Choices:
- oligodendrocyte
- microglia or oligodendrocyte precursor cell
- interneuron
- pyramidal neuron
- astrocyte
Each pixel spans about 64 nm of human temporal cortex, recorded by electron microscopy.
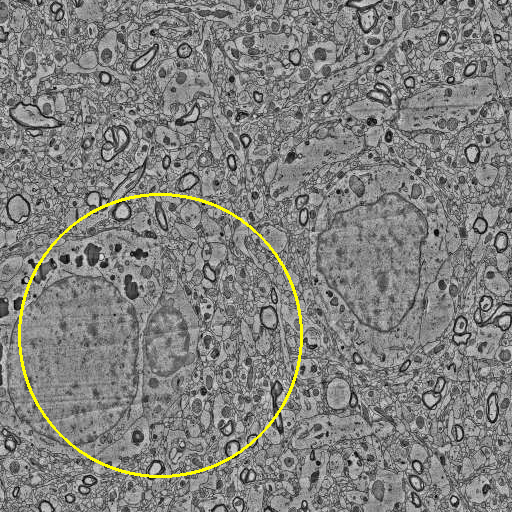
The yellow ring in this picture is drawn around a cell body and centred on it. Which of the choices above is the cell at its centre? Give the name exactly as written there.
oligodendrocyte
